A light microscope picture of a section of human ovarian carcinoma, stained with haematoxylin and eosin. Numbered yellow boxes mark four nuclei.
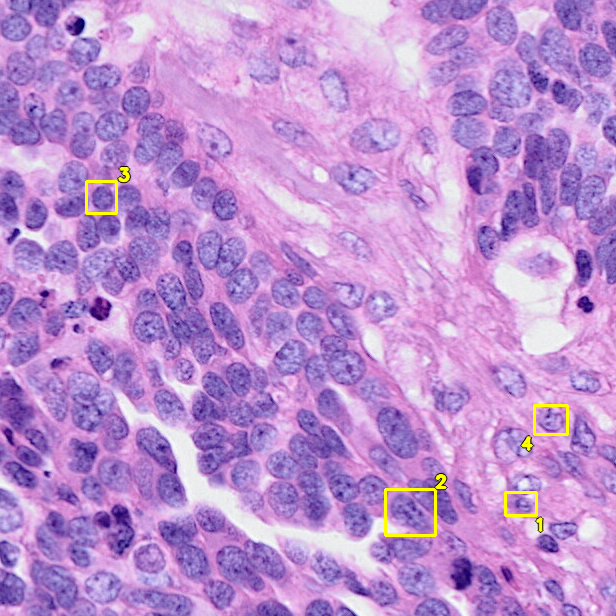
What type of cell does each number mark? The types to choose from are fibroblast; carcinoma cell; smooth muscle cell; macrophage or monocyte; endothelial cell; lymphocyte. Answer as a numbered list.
1. fibroblast
2. carcinoma cell
3. carcinoma cell
4. fibroblast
